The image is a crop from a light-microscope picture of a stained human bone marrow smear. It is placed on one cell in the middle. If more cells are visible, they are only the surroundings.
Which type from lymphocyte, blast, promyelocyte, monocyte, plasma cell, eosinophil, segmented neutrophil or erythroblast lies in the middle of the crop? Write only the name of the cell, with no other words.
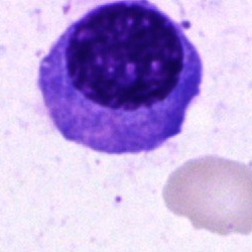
plasma cell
